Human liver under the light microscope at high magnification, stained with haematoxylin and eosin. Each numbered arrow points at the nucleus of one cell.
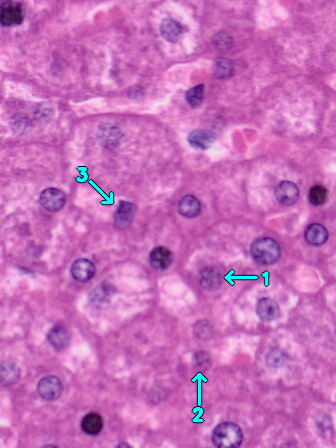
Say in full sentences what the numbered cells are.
Cells 1 and 2 are hepatocytes. Cell 3 is an endothelial cell.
